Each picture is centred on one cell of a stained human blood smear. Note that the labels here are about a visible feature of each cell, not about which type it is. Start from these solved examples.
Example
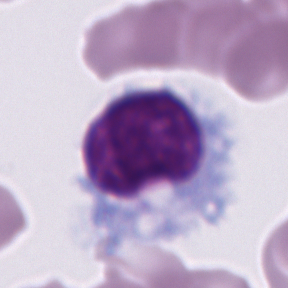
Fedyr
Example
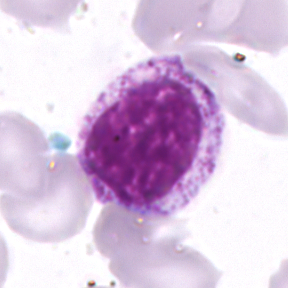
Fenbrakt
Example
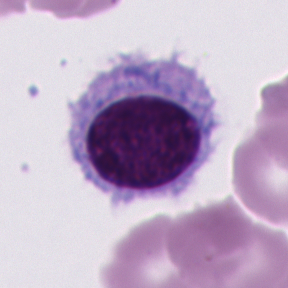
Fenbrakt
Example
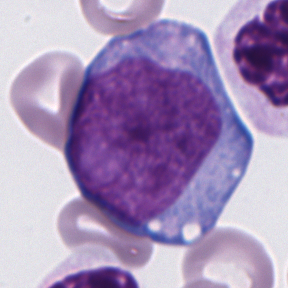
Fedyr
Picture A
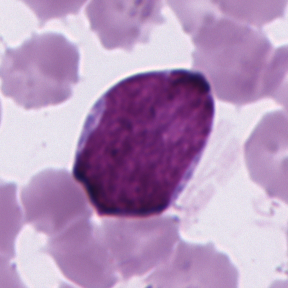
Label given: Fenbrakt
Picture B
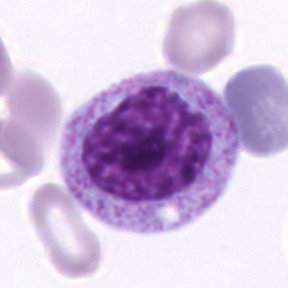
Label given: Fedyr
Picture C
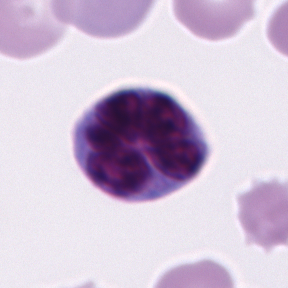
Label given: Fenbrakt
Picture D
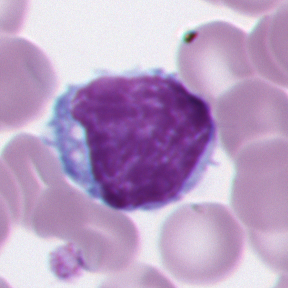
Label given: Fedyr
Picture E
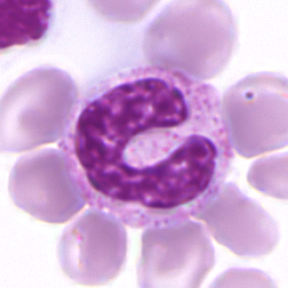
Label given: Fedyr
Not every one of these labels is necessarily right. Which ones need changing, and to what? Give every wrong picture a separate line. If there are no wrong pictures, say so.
E: Fenbrakt, not Fedyr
